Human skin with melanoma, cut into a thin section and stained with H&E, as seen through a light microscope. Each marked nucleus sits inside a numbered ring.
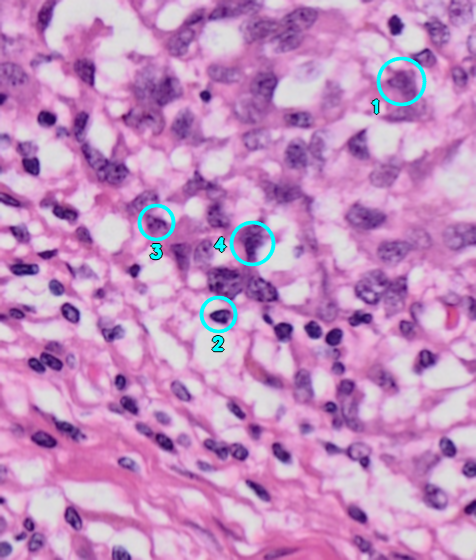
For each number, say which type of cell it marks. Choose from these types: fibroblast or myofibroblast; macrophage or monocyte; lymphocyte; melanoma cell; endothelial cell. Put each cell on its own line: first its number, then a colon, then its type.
1: melanoma cell
2: lymphocyte
3: melanoma cell
4: melanoma cell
